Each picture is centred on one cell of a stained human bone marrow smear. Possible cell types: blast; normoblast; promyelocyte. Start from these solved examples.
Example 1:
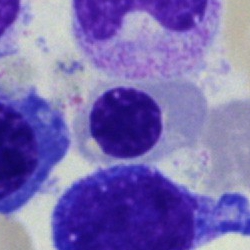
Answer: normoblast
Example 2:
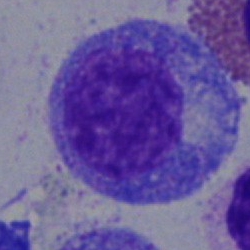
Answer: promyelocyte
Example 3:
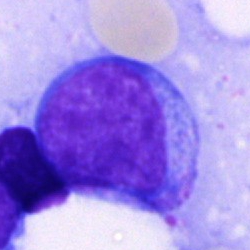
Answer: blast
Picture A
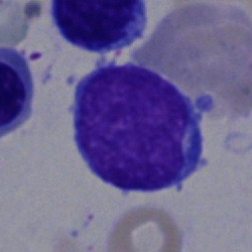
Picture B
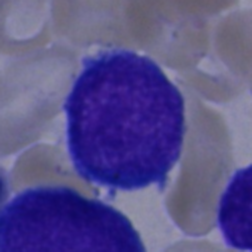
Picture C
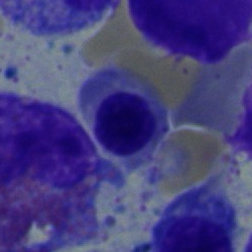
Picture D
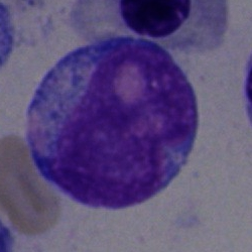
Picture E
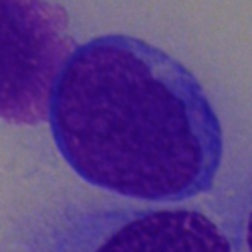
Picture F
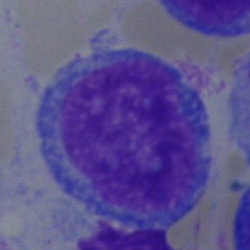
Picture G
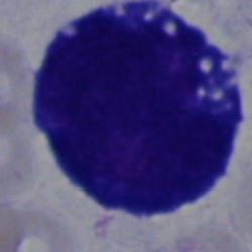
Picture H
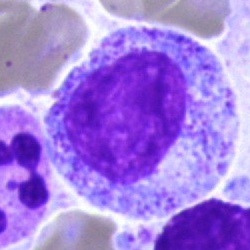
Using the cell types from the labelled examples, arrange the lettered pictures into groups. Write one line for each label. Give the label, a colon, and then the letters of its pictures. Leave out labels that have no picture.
blast: A, B, D, E, F, G
normoblast: C
promyelocyte: H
